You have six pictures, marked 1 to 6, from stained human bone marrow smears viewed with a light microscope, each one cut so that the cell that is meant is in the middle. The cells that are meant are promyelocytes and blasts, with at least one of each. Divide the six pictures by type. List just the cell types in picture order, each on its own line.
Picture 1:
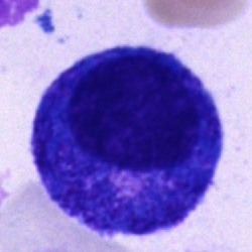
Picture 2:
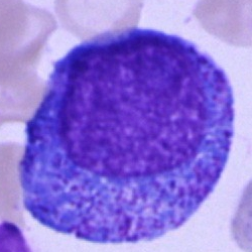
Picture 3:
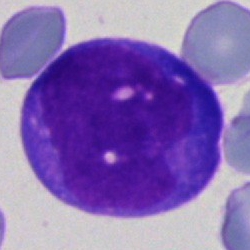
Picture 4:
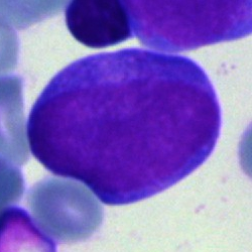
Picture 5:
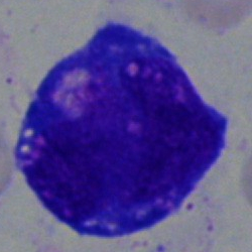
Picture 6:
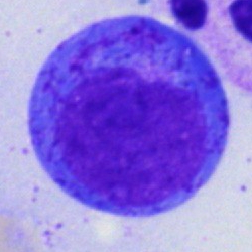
promyelocyte
promyelocyte
blast
blast
blast
promyelocyte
